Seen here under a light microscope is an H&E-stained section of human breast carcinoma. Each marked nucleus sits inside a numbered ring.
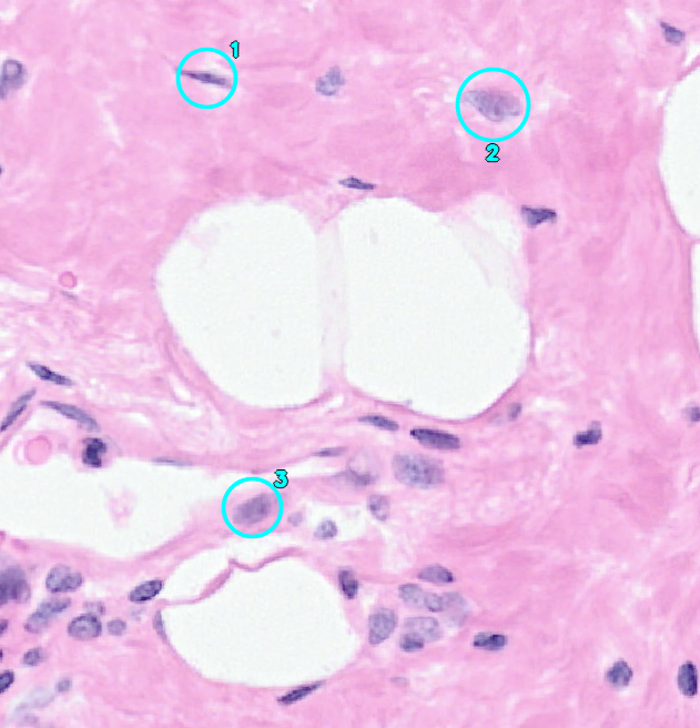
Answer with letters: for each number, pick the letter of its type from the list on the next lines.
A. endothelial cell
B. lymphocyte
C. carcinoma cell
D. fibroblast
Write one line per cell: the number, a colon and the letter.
1: D
2: D
3: A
